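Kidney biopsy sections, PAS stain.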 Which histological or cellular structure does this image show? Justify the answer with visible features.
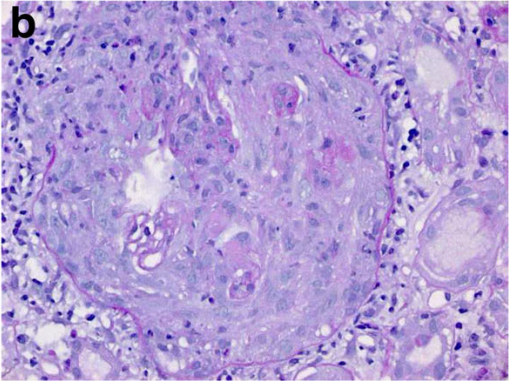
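A glomerulus whose capsular space is filled by a thick layer of closely packed cells. The glomerular tuft is compressed and surrounded by this cellular layer inside the magenta-outlined capsule. So: cellular crescent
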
